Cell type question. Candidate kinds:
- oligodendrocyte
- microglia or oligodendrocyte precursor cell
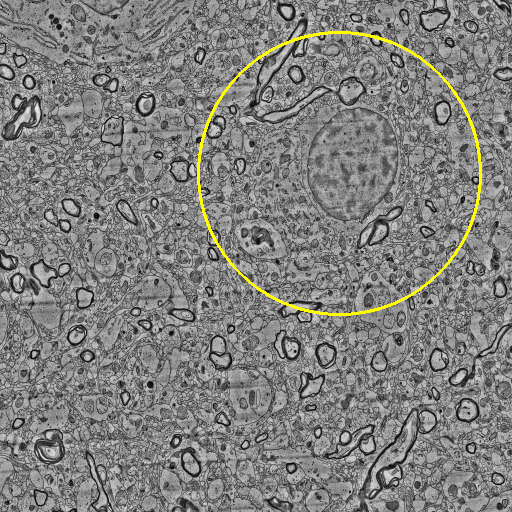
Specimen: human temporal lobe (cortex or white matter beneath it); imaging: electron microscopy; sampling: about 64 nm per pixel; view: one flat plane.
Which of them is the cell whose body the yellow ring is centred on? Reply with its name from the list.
oligodendrocyte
